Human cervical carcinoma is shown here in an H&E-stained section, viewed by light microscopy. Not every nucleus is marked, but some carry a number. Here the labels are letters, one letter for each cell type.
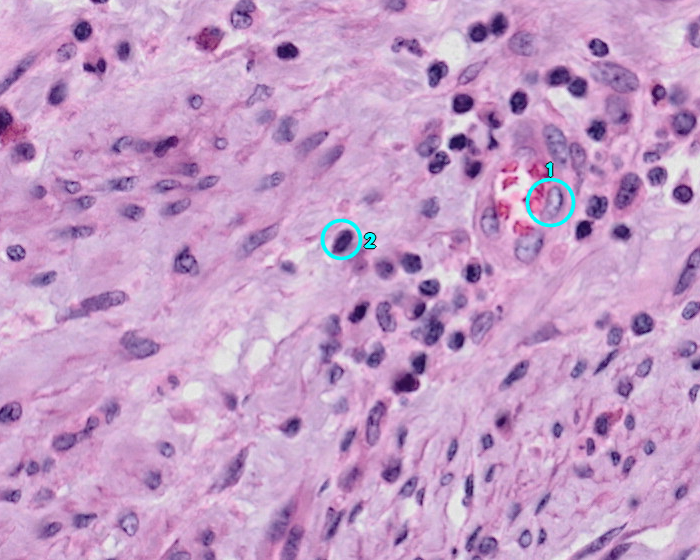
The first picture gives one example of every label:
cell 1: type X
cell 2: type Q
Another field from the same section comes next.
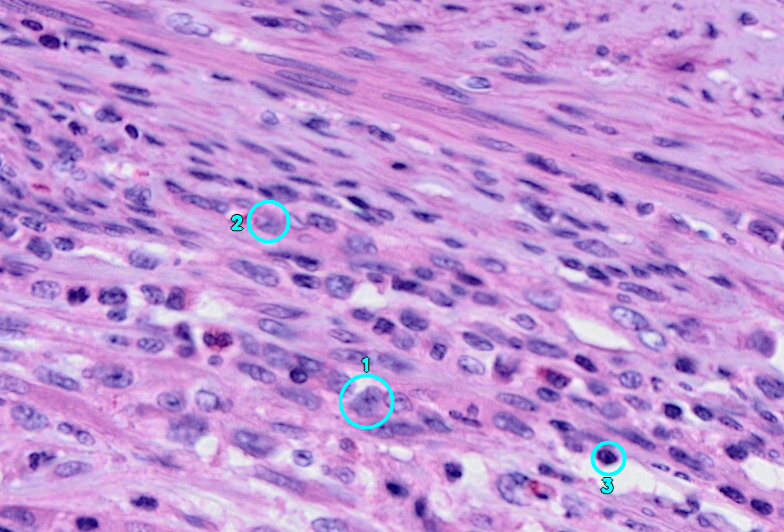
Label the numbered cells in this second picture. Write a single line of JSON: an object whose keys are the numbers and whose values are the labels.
{"1": "type X", "2": "type X", "3": "type Q"}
